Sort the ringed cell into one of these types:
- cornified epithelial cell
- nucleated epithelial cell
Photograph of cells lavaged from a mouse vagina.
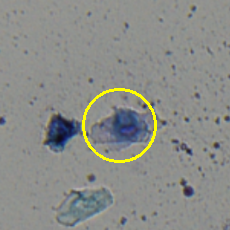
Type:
nucleated epithelial cell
